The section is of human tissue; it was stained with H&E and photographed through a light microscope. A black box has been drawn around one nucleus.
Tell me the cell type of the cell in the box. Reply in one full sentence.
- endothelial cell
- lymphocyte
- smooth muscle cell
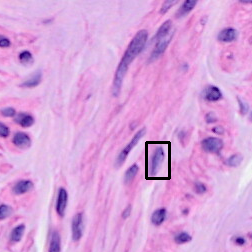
In the stained section, the cell in the box is a smooth muscle cell.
